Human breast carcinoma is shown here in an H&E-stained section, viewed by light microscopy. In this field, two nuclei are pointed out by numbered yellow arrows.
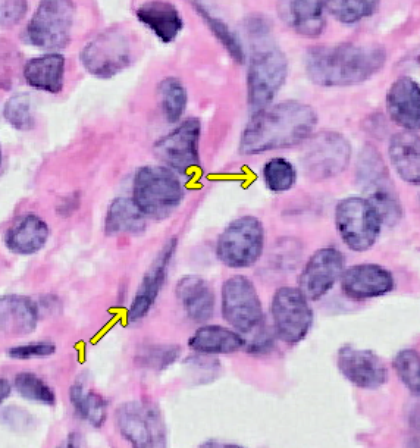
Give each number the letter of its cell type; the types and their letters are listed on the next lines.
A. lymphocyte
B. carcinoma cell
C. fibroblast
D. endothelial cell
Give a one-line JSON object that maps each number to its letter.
{"1": "D", "2": "A"}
